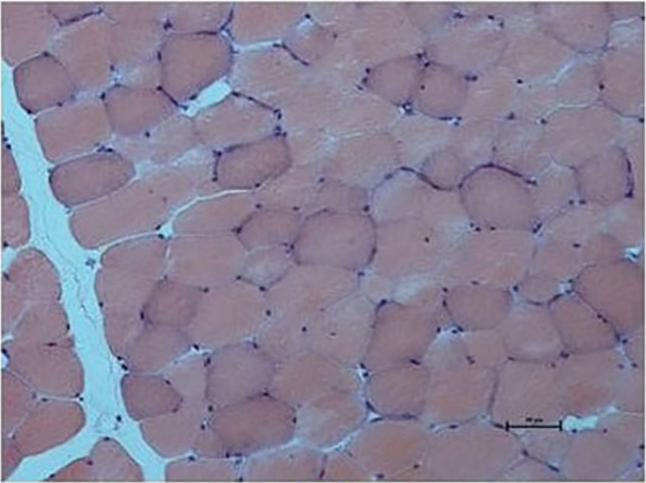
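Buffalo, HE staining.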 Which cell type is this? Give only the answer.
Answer: Muscle fiber.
